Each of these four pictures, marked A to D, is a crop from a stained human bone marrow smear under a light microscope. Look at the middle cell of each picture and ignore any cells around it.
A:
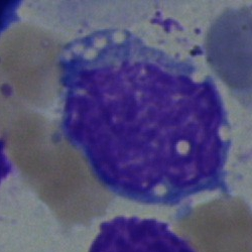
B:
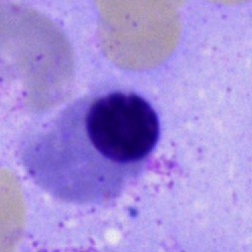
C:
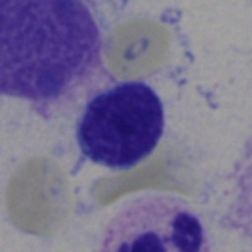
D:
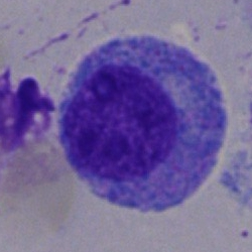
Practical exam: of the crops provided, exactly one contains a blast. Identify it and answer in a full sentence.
Here the crop that shows a blast is crop A.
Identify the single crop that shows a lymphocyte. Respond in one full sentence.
Crop C is identified as the crop showing a lymphocyte.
